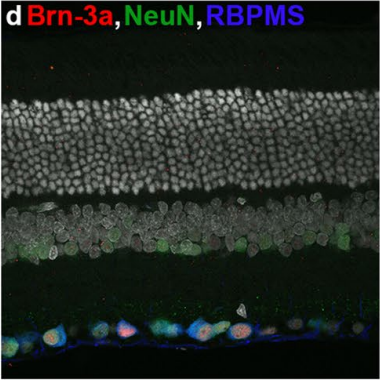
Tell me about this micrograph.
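A cross-section of retina shows its layered nuclei in white: a thick outer nuclear layer of densely packed small round nuclei at the top, a thinner inner nuclear layer of larger, more loosely packed nuclei, and a single sparse row of large cell bodies at the inner edge. These large ganglion cells show red nuclei within green and blue cell bodies, the colours overlapping in most of them. A few cells at the inner margin of the inner nuclear layer are faintly green. Darker, nucleus-poor plexiform bands separate the nuclear layers.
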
